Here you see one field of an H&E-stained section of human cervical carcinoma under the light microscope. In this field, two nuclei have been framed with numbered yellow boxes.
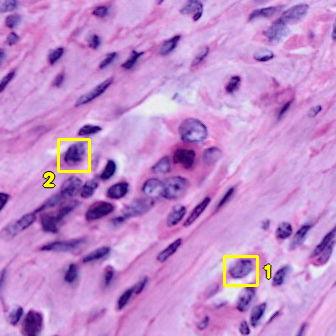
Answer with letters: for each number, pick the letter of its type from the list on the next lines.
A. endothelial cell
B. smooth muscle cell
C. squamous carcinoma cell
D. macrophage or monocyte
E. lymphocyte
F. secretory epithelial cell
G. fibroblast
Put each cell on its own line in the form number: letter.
1: A
2: E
